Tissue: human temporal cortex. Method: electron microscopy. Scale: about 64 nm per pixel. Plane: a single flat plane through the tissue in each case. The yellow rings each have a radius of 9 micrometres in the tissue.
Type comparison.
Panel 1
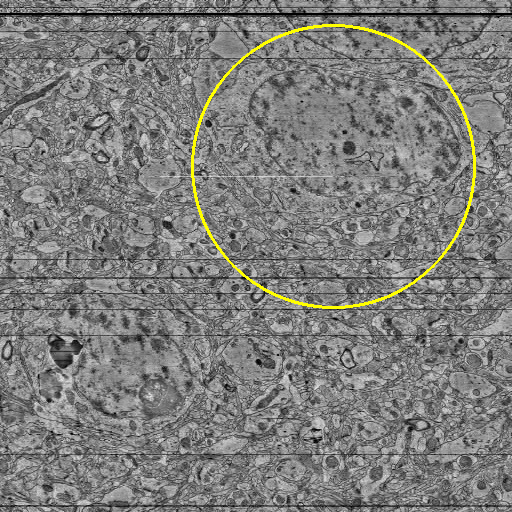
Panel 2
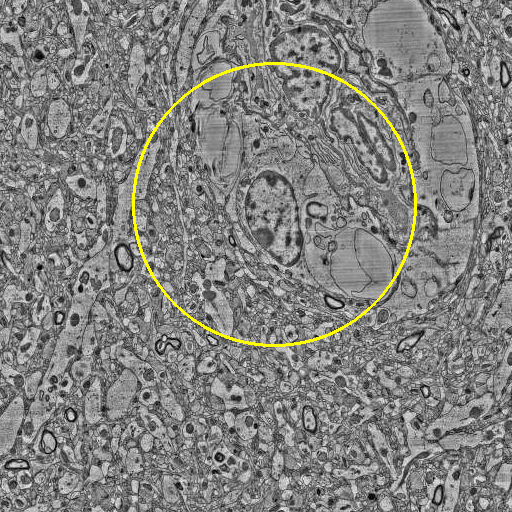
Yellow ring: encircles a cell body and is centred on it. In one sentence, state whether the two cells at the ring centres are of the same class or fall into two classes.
In these panels, the two cells at the ring centres fall into two classes.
